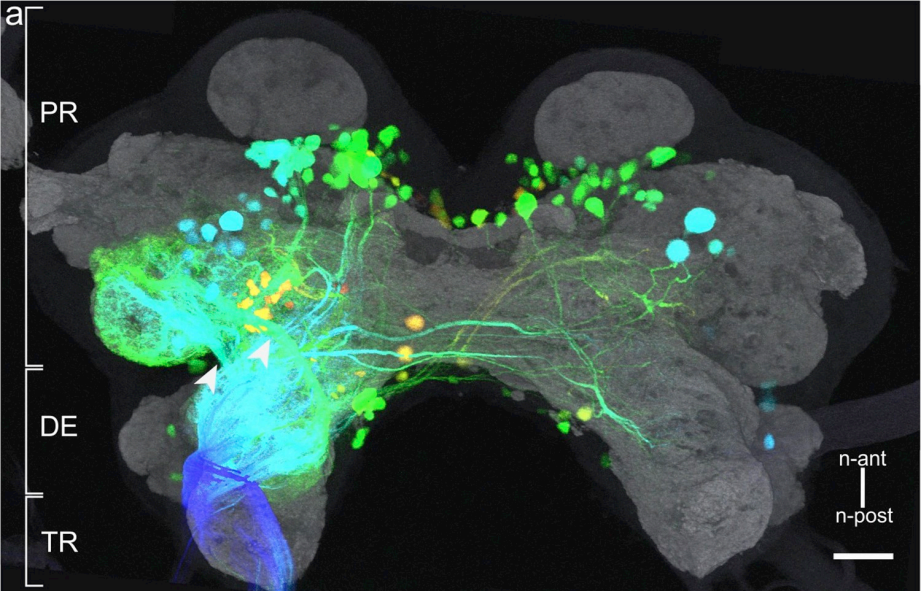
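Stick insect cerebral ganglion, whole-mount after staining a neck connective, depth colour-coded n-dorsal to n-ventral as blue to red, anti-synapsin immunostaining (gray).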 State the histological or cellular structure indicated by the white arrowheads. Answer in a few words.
Thick fibre bundles.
